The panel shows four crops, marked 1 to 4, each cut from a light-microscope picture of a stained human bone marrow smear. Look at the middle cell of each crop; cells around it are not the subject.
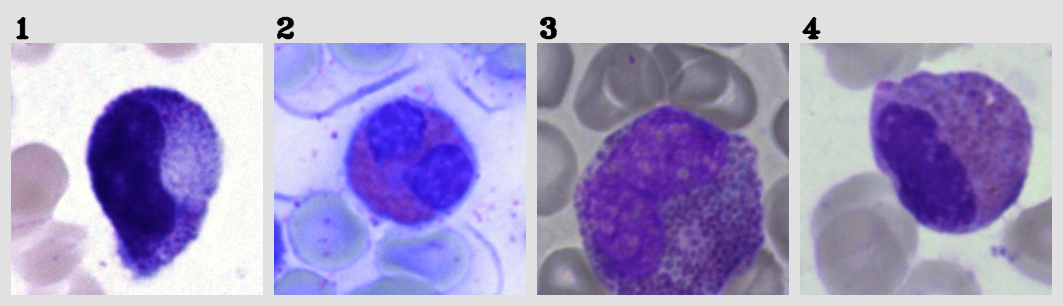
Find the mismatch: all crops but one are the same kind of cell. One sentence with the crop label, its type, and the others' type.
The others are all eosinophils; crop 1 is a metamyelocyte.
